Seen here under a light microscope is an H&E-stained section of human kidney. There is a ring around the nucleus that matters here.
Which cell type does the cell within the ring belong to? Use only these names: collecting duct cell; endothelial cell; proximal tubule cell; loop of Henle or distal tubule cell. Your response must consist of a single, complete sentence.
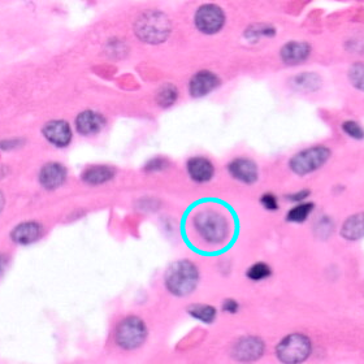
Histopathologically, the cell within the ring is a loop of Henle or distal tubule cell.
